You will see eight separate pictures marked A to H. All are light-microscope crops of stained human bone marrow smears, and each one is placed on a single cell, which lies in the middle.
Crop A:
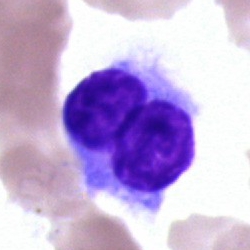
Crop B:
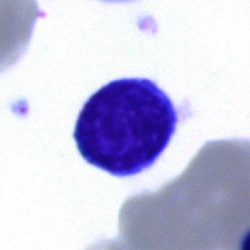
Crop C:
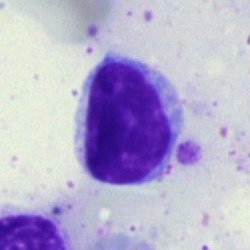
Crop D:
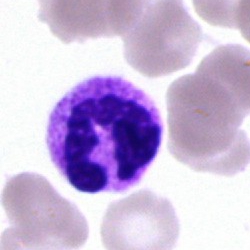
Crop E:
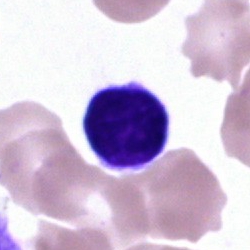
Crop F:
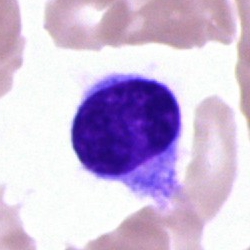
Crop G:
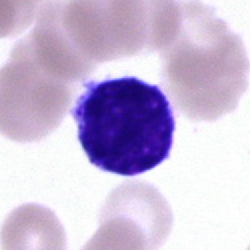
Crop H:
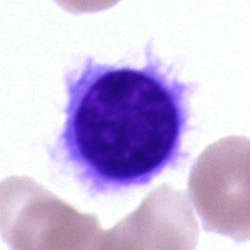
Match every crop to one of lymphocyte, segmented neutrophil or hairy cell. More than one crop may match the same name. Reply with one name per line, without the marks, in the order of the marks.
hairy cell
lymphocyte
lymphocyte
segmented neutrophil
lymphocyte
hairy cell
lymphocyte
hairy cell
